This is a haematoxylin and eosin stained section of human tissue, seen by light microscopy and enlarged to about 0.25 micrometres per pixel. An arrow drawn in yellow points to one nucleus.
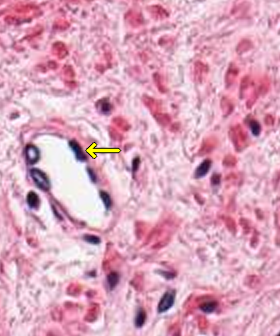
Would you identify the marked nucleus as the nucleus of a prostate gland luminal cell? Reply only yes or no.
no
